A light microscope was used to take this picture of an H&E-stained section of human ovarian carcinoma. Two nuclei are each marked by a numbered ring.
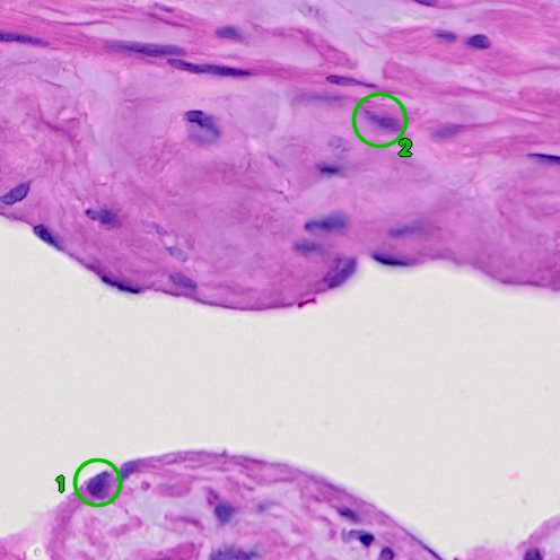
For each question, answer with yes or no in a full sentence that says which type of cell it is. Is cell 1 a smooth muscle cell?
No, the cell marked 1 is an endothelial cell rather than a smooth muscle cell.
